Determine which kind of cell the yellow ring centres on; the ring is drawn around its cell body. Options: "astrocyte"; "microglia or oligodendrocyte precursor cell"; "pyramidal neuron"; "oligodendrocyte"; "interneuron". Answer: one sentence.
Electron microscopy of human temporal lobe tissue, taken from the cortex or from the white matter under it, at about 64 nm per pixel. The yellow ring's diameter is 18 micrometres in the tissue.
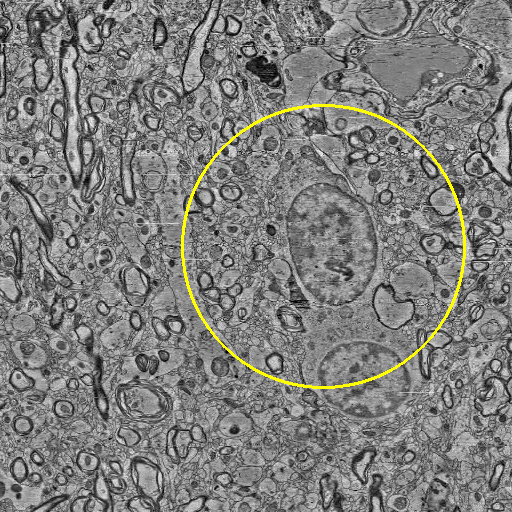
The ring centres on an oligodendrocyte.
